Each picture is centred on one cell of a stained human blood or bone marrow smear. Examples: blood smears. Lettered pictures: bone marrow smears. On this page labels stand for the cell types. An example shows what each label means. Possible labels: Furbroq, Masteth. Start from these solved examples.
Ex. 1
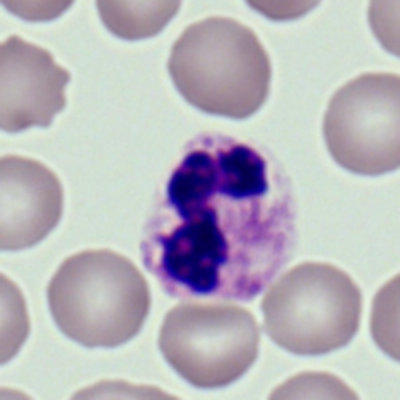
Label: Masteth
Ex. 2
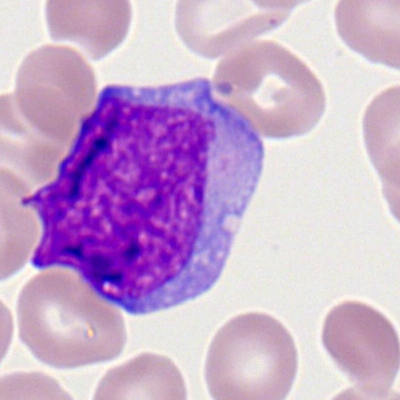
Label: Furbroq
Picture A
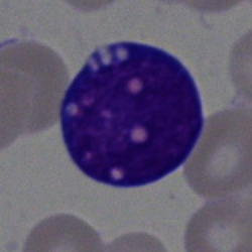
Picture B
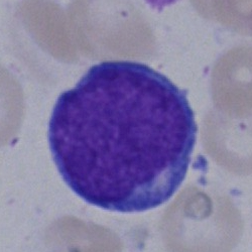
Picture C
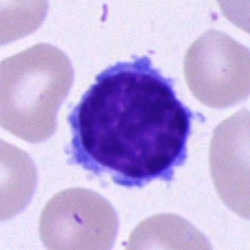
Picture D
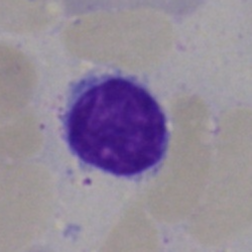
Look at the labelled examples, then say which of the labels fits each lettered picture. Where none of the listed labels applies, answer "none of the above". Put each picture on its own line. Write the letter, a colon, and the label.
A: Furbroq
B: Furbroq
C: none of the above
D: none of the above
